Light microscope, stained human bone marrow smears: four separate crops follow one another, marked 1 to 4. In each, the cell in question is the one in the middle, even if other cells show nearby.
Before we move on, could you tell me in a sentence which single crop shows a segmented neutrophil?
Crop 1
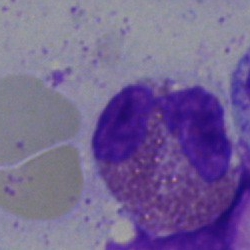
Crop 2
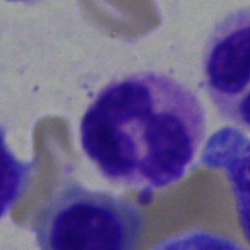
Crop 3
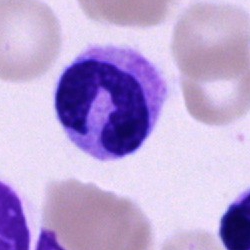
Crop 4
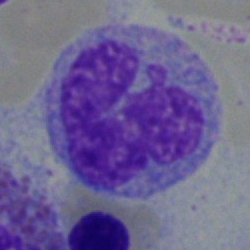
The requested cell, a segmented neutrophil, is the one in crop 2.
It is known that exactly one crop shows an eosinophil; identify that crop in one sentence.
When the crops are compared, crop 1 is the one showing an eosinophil.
